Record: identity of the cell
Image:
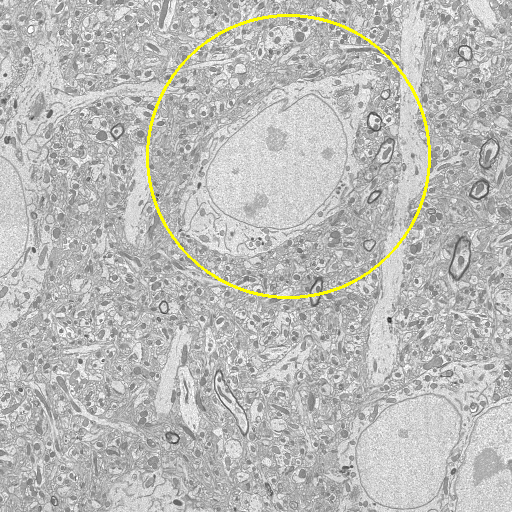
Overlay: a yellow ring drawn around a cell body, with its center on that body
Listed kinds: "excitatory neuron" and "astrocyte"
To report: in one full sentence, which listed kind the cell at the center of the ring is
In the image, the cell body at the ring's center belongs to an excitatory neuron.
